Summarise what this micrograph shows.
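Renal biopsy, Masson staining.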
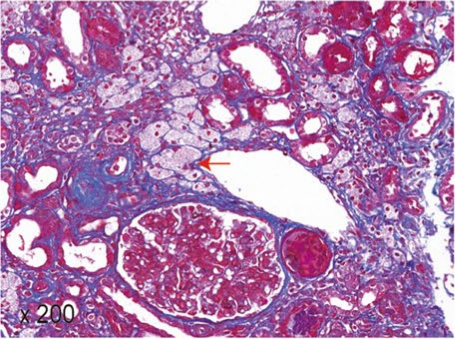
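This section of kidney shows a glomerulus, tubules and an interstitium holding clusters of foamy cells. The glomerulus at lower left is a rounded, red-stained capillary tuft inside a capsule. Tubules of varying size have red-stained epithelium, and some have widened lumina. Near a vessel, groups of large cells with pale, bubbly cytoplasm lie between the tubules. Blue-stained fibrous tissue surrounds the vessel and the tubules.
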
